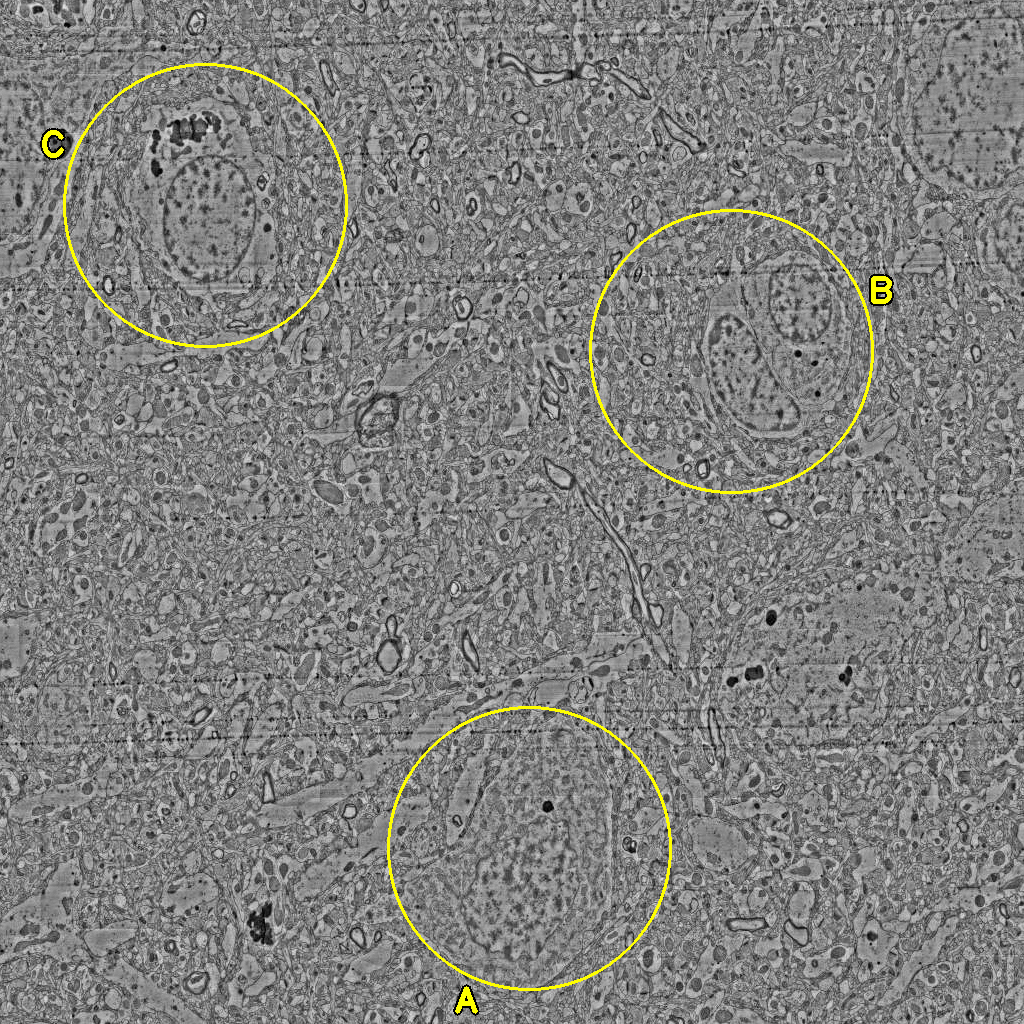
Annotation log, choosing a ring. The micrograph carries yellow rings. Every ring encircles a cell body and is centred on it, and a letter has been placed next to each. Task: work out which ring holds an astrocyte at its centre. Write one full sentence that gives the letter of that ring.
In the micrograph, the ring centred on the cell asked for carries the letter C.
